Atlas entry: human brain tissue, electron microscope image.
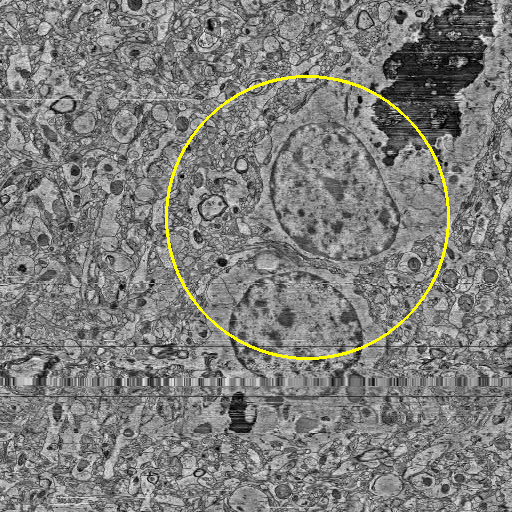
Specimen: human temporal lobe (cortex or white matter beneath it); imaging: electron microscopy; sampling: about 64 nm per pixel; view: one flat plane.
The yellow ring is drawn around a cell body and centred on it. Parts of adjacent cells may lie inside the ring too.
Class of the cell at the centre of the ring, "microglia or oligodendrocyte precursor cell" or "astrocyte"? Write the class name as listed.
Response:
astrocyte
